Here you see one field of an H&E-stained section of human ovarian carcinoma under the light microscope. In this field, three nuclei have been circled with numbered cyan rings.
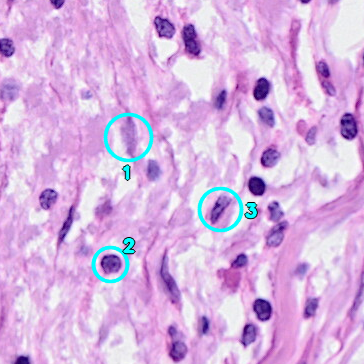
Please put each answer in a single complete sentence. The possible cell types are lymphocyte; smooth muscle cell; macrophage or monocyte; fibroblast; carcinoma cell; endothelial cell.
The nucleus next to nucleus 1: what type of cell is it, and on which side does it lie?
The closest nucleus belongs to a lymphocyte and sits below and to the right of nucleus 1.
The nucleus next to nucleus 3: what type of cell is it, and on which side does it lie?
It is a lymphocyte, whose nucleus lies above and to the right of nucleus 3.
